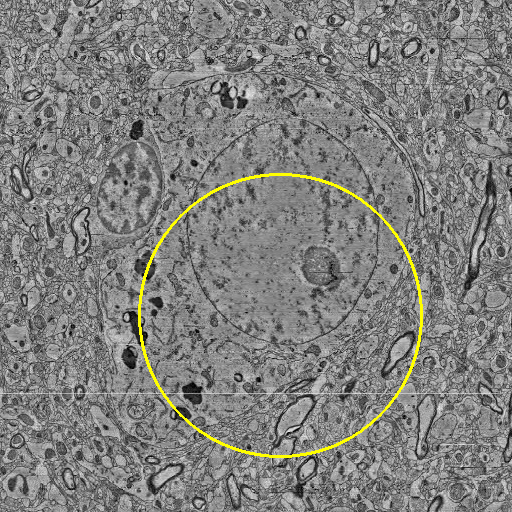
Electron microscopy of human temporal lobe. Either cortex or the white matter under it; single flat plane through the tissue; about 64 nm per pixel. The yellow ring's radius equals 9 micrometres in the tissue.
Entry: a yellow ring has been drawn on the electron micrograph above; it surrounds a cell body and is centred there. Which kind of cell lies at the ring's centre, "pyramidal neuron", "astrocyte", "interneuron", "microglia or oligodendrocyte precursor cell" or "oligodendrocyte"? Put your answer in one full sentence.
The cell sitting at the ring's centre is a pyramidal neuron in the micrograph above.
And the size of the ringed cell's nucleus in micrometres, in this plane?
Roughly 15 by 12 micrometres in this plane, for the nucleus of the ringed cell.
